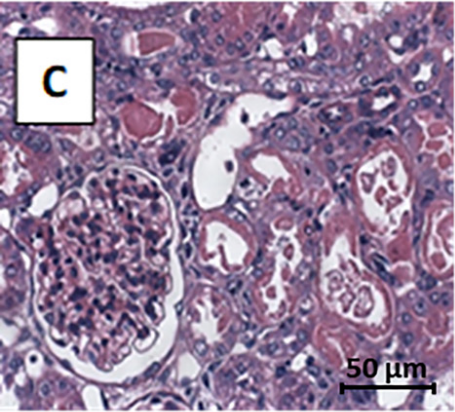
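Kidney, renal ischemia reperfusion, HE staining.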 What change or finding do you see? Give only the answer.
Tubular lumen dilatation.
